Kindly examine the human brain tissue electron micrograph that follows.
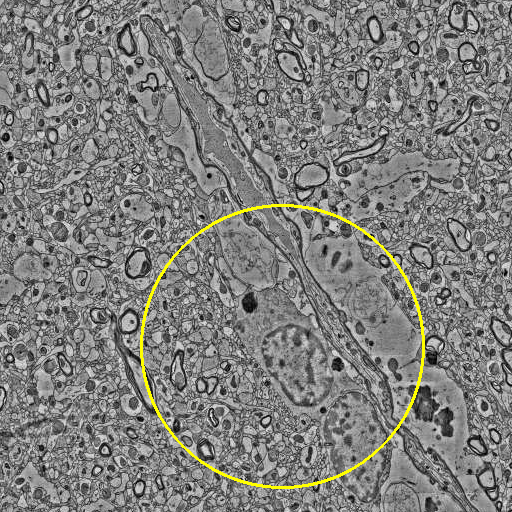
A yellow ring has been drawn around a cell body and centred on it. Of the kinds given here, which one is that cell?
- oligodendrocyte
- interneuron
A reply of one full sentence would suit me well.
The micrograph's ringed cell, the one at the ring's centre, is an oligodendrocyte.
